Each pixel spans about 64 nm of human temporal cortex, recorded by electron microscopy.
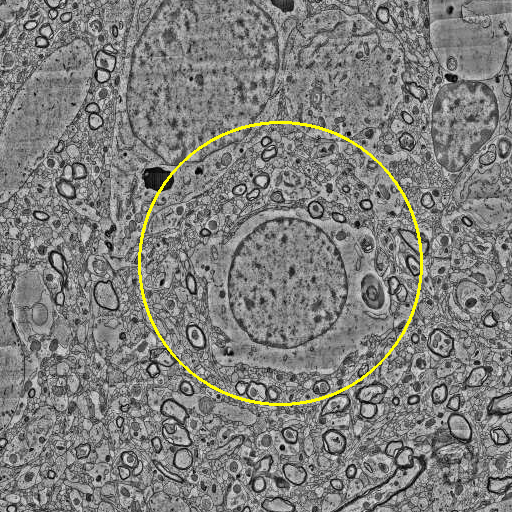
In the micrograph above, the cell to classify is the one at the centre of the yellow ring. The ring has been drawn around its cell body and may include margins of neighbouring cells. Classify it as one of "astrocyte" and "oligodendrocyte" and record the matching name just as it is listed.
astrocyte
